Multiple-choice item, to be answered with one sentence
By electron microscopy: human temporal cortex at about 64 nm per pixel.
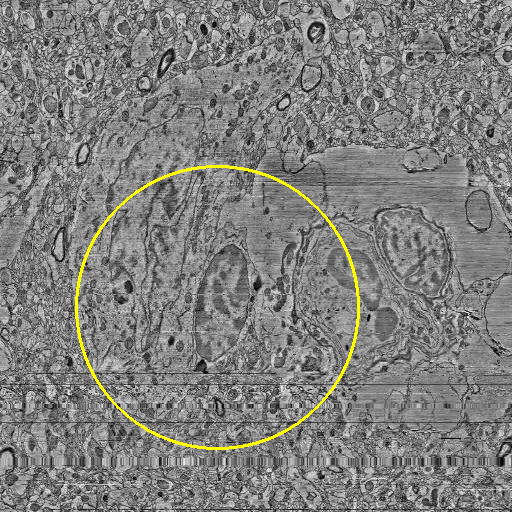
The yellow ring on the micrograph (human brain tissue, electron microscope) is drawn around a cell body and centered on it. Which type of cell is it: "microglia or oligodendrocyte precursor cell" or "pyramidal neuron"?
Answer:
The ring is centered on a microglial cell or oligodendrocyte precursor cell.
